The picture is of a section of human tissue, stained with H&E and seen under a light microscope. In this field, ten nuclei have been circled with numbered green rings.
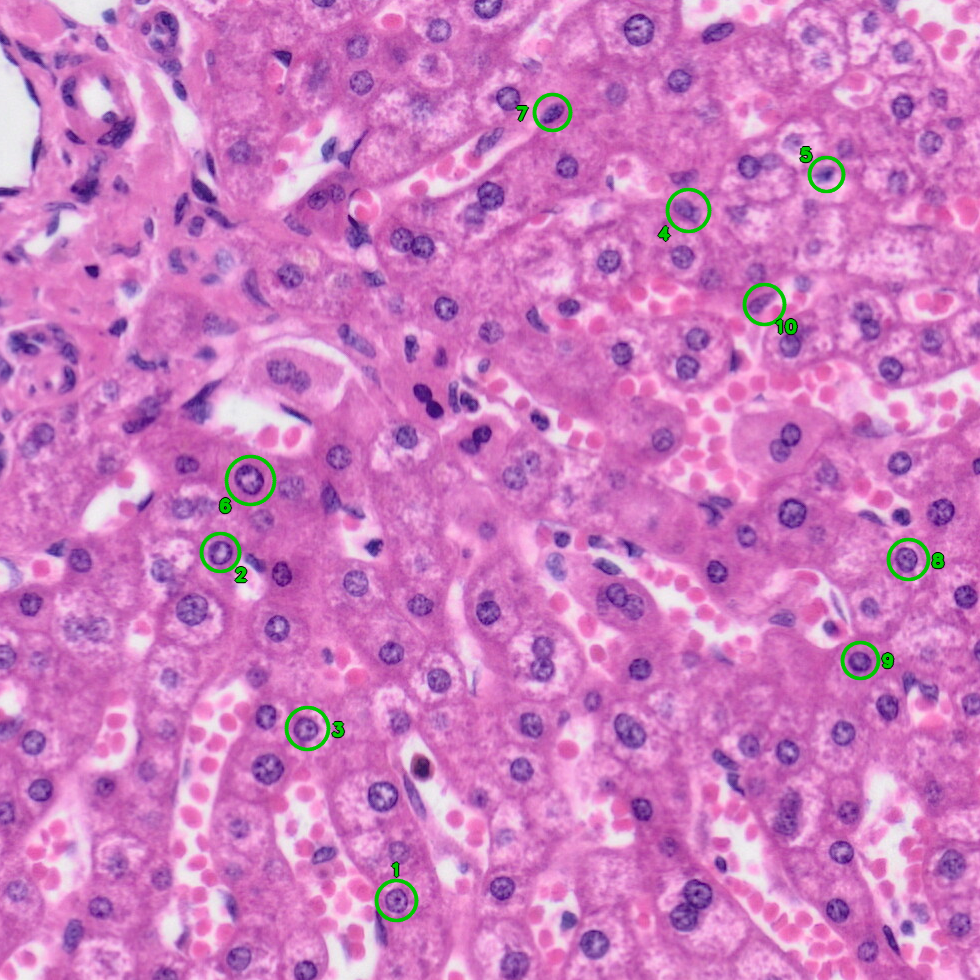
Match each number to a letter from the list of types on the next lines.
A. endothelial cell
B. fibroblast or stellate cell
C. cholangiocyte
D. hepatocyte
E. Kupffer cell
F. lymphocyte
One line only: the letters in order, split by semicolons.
D; D; D; B; A; D; B; D; D; E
